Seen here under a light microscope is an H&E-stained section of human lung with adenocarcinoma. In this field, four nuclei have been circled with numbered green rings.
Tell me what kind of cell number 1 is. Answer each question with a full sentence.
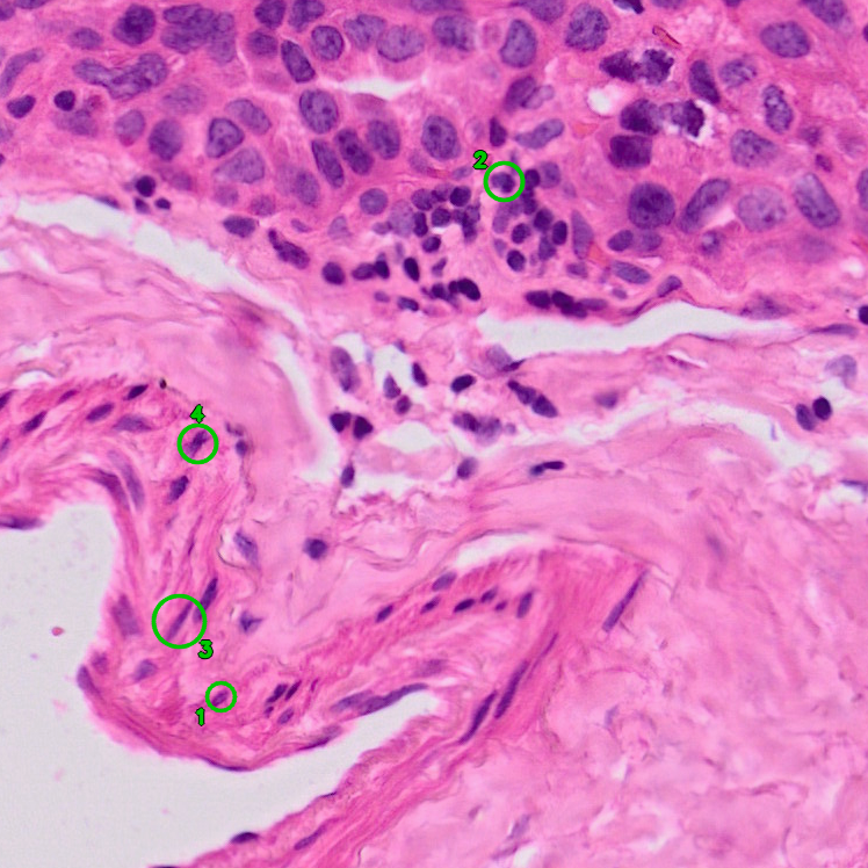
Among the marked nuclei, number 1 belongs to a smooth muscle cell or pericyte.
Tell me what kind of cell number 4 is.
The nucleus labeled 4 belongs to a smooth muscle cell or pericyte.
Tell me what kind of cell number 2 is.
Cell 2, among those numbered, is a lymphocyte.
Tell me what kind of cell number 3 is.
Cell 3 should be recorded as a smooth muscle cell or pericyte.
